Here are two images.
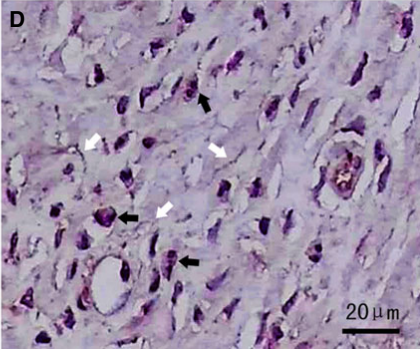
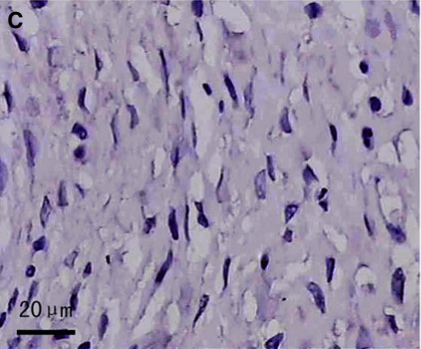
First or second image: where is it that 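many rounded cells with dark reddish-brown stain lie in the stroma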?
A: The first image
